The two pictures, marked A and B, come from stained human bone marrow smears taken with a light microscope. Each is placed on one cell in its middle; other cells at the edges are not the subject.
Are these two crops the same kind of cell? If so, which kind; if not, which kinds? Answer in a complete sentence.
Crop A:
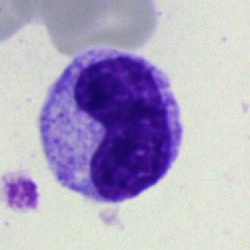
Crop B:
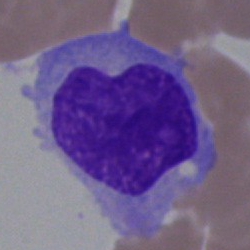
No, a metamyelocyte is the subject of crop A, and a monocyte is the subject of crop B.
